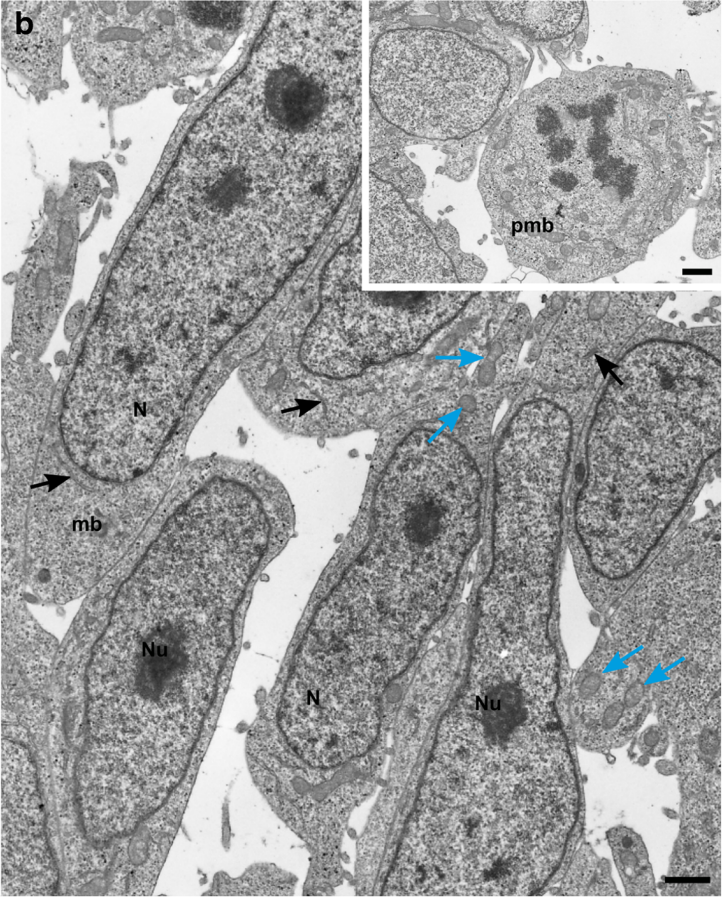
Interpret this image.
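The thin rim of cytoplasm and the tapered cell ends contain many free ribosomes, profiles of rough endoplasmic reticulum and small oval mitochondria with cristae. Cell processes extend between neighbouring cells. The inset shows a rounded cell with an intact nucleus beside a rounded mitotic cell whose condensed chromosome clumps lie in the cytoplasm without a nuclear envelope.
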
